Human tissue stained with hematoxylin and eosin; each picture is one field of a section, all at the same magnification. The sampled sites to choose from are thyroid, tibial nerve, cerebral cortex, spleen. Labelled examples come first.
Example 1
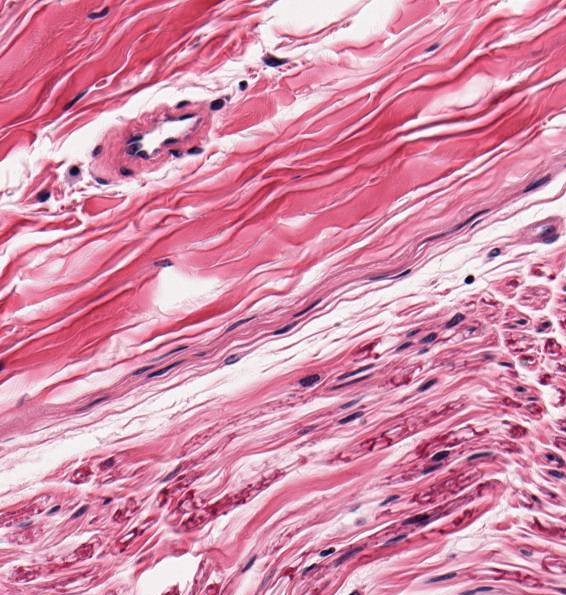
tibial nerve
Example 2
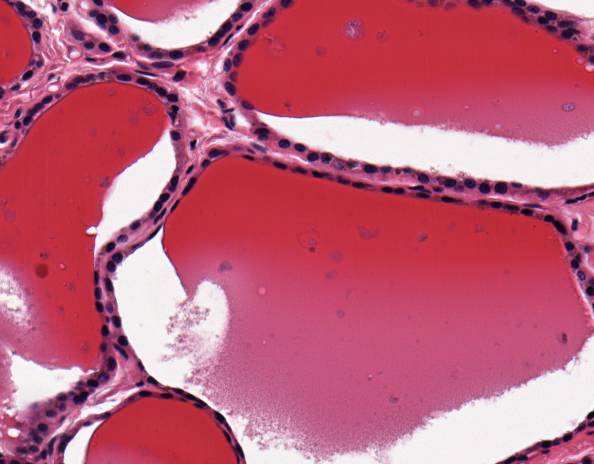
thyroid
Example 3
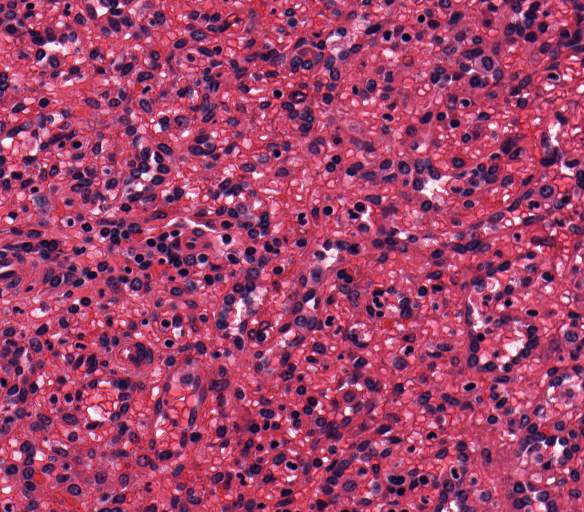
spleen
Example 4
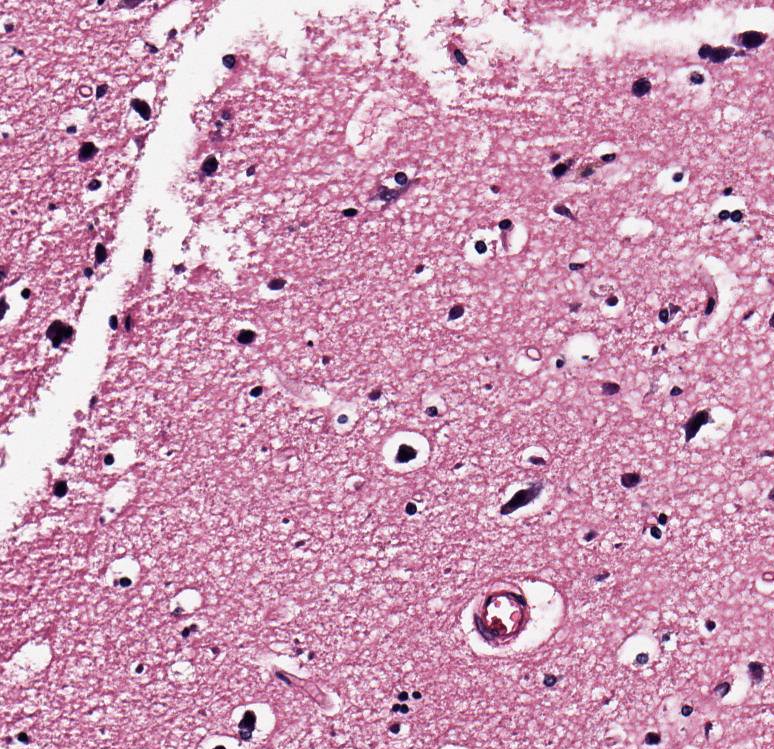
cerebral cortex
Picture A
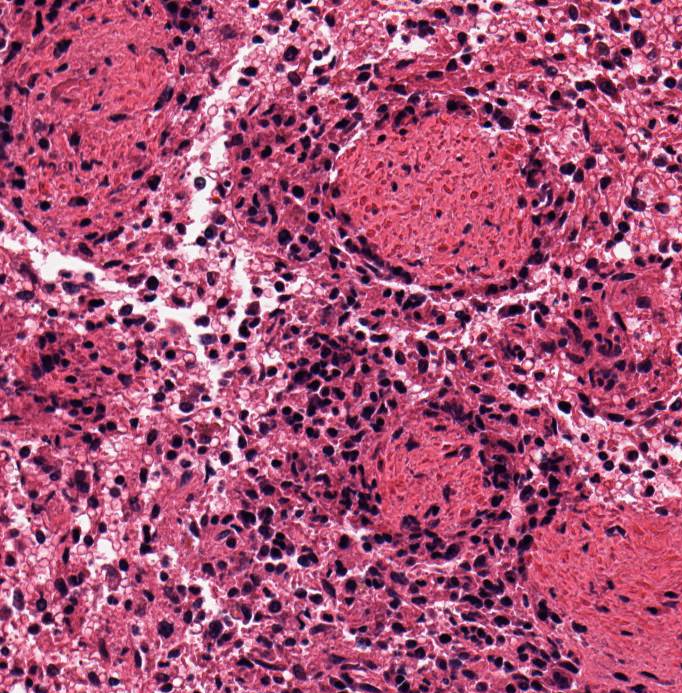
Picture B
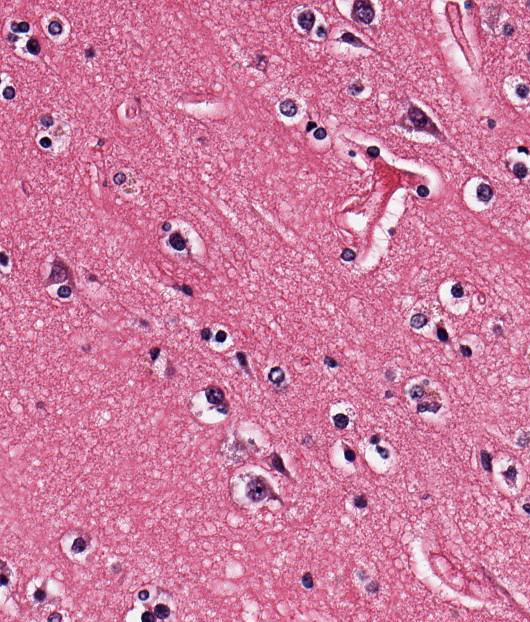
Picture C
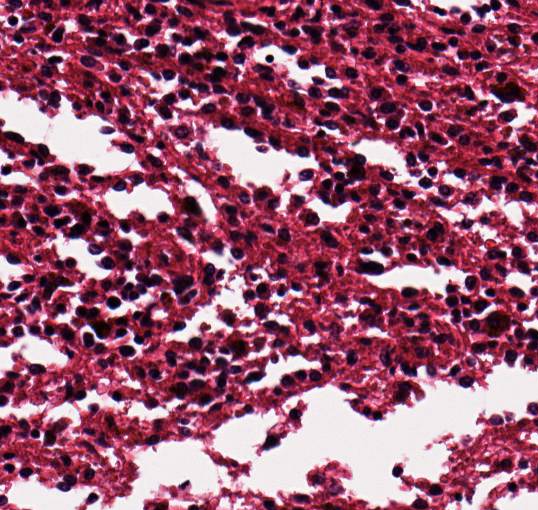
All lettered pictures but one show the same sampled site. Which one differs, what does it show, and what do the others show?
Odd one out: B (cerebral cortex). The rest: spleen.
